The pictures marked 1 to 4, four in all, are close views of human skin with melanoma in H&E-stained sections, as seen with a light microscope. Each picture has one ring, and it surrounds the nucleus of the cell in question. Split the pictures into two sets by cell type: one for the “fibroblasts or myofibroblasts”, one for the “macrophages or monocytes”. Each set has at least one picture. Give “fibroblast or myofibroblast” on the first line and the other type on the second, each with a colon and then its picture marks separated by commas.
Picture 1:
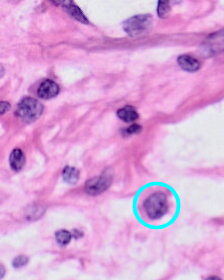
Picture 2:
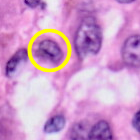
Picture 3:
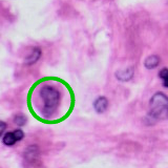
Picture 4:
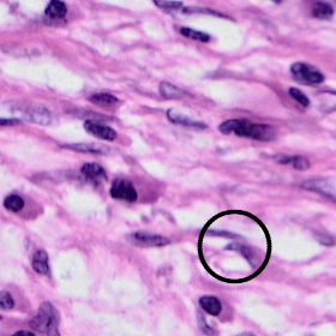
fibroblast or myofibroblast: 4
macrophage or monocyte: 1, 2, 3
